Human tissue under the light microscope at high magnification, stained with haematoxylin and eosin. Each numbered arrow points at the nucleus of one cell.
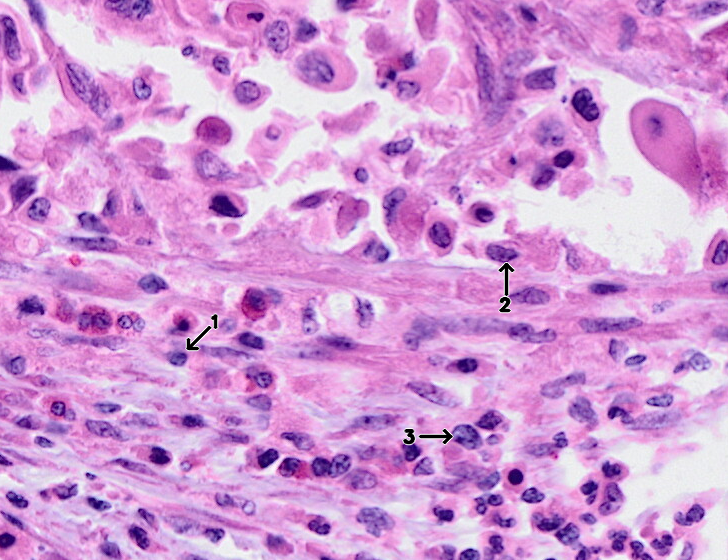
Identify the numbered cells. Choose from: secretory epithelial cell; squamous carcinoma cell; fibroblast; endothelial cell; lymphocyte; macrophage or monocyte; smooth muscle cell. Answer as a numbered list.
1. lymphocyte
2. macrophage or monocyte
3. lymphocyte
